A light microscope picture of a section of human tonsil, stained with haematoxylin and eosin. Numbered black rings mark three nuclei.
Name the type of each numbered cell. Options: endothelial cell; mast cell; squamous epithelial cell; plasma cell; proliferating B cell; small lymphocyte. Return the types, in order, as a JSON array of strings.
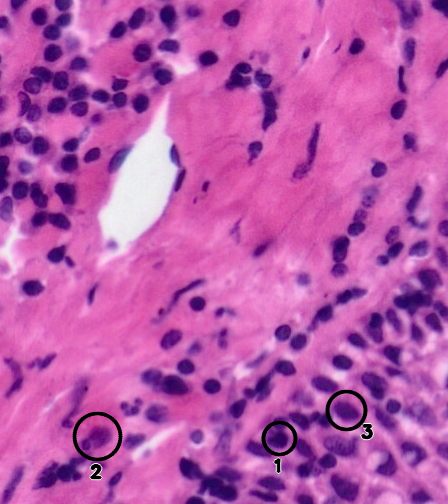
["squamous epithelial cell", "endothelial cell", "squamous epithelial cell"]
